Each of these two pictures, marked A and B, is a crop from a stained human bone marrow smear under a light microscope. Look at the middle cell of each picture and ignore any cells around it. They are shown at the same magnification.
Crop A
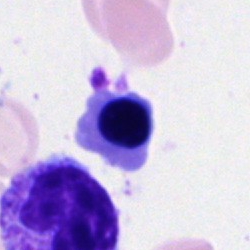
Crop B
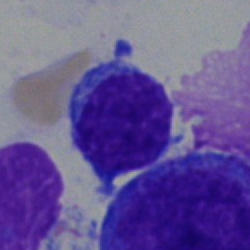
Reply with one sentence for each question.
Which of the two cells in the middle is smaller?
The cell in crop A is smaller; the one in crop B has about 2 times its area.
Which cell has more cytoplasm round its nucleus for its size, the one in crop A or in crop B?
In crop A the nucleus takes up the smaller part of its cell.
